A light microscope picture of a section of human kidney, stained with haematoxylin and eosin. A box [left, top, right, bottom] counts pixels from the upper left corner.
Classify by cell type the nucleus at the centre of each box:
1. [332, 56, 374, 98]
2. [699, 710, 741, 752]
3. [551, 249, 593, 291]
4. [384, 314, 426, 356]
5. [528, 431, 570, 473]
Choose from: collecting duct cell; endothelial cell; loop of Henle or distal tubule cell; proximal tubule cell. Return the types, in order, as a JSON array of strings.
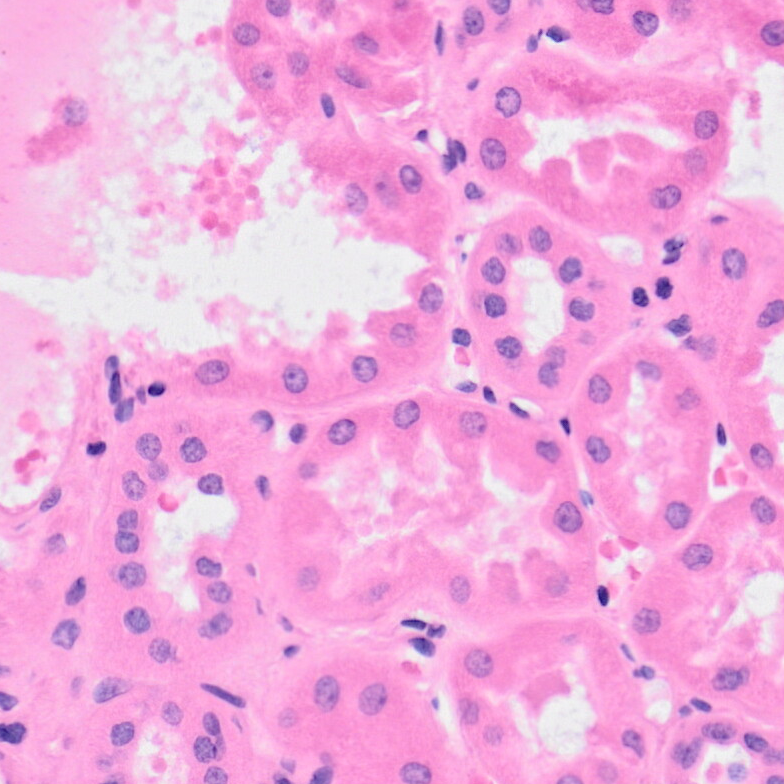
["proximal tubule cell", "collecting duct cell", "loop of Henle or distal tubule cell", "proximal tubule cell", "proximal tubule cell"]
